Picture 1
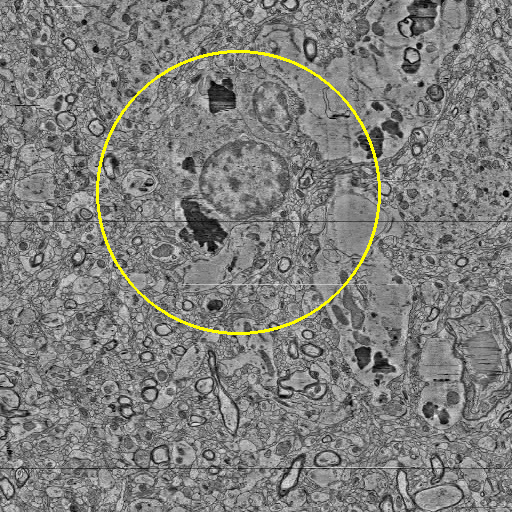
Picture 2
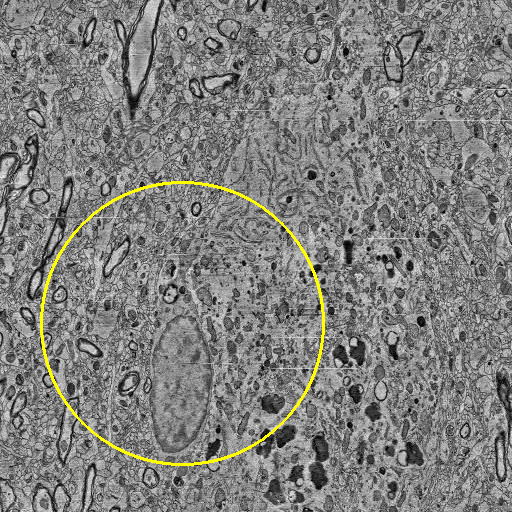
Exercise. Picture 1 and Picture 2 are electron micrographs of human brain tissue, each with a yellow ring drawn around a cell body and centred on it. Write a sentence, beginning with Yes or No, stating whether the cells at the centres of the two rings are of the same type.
Yes, the cells at the centres of both rings are of the same type.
